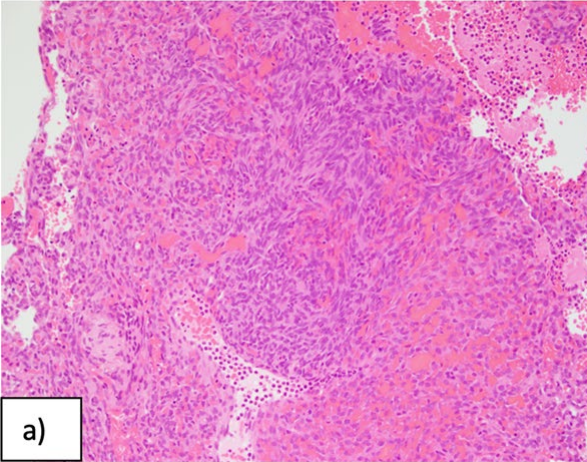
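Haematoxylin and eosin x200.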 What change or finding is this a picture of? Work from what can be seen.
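Densely packed cells with elongated, spindle-shaped nuclei. Cells arranged in interlacing bundles. Red blood cells spilled around the cellular tissue. So: spindle cell tumours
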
